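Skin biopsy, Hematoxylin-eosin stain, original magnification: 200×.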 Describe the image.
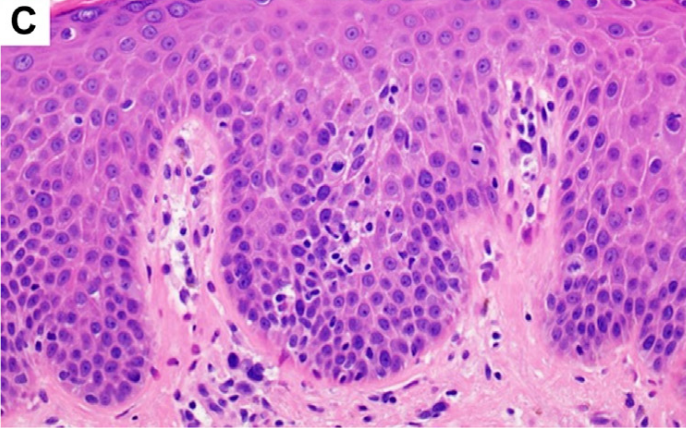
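This view of the epidermis shows elongated rete ridges with lymphocytes entering the lower layers. Small cells with dark nuclei are scattered among the basal and lower spinous keratinocytes. The keratinocytes higher up are larger, with more pink cytoplasm.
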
